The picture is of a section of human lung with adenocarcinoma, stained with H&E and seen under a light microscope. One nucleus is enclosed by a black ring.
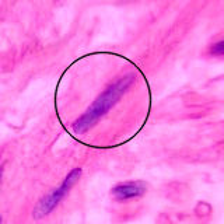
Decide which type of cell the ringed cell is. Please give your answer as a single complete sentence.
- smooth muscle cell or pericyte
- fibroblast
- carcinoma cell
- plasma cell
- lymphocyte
On this particular slide, the ringed cell is a smooth muscle cell or pericyte.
